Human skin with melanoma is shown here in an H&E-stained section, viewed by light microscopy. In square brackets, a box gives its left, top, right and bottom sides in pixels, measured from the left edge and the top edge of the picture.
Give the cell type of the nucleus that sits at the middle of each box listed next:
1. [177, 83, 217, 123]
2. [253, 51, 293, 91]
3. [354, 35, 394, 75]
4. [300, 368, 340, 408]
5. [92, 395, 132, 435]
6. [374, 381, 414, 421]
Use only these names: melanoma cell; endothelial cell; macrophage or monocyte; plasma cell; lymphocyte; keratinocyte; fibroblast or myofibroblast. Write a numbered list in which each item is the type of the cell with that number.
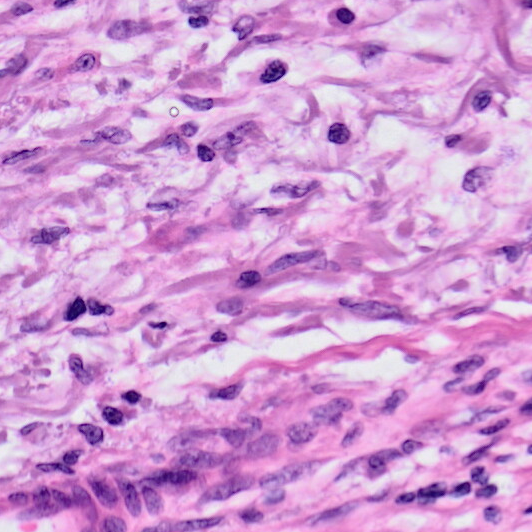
1. fibroblast or myofibroblast
2. plasma cell
3. fibroblast or myofibroblast
4. fibroblast or myofibroblast
5. plasma cell
6. macrophage or monocyte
